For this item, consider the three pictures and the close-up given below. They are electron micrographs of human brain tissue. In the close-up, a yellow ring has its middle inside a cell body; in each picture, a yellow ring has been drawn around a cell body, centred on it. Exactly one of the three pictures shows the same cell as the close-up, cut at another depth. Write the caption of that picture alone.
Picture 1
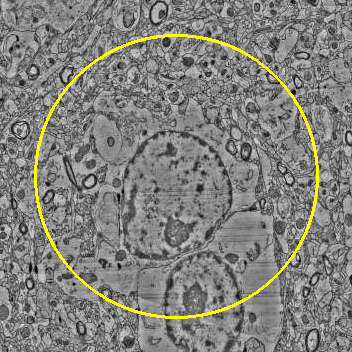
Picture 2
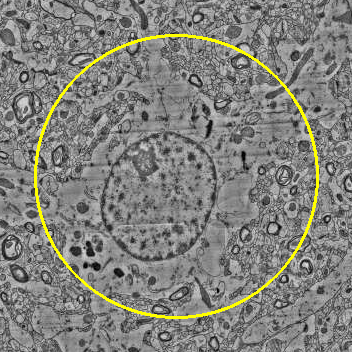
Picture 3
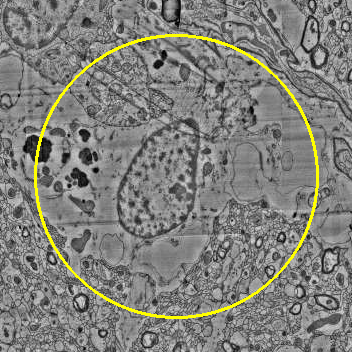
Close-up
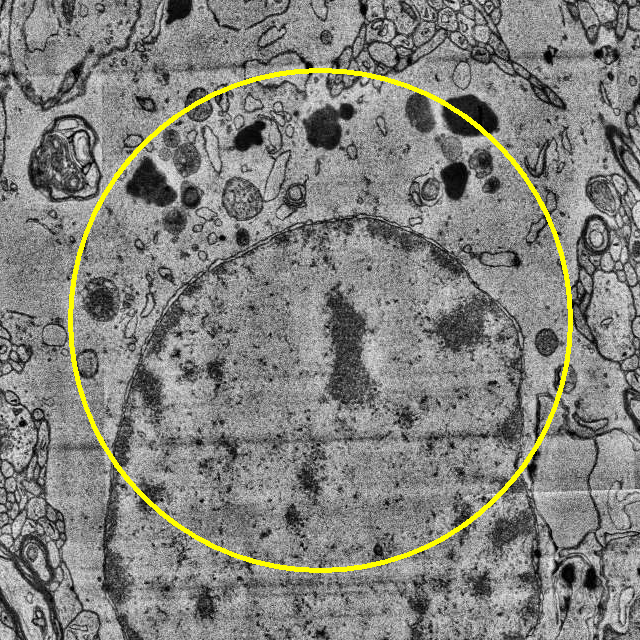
Picture 1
